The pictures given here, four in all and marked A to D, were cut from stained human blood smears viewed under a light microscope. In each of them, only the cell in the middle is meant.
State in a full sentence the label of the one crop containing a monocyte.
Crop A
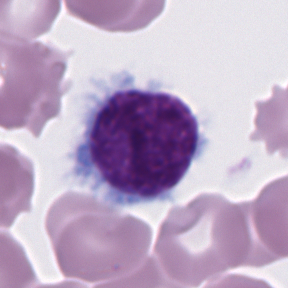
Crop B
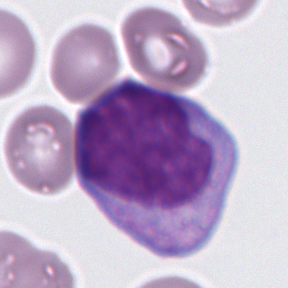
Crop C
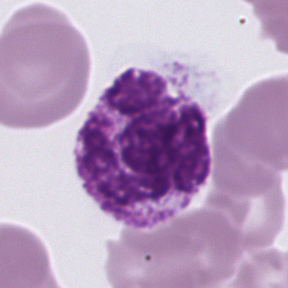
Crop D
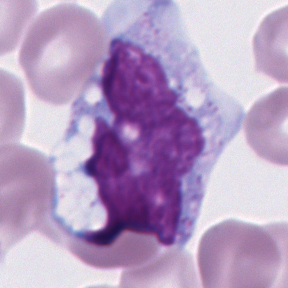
Crop D is the crop whose central cell is a monocyte.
